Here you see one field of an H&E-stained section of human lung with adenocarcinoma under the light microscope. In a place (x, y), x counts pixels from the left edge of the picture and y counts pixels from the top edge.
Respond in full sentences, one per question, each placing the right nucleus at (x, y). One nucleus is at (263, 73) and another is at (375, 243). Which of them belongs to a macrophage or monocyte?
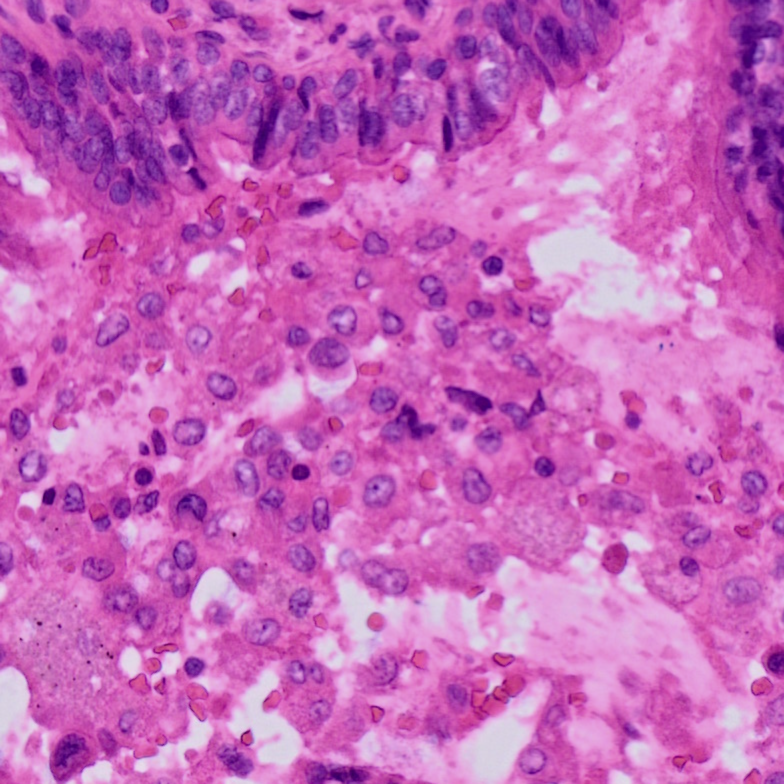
The nucleus of a macrophage or monocyte is the one found at (375, 243), not the other.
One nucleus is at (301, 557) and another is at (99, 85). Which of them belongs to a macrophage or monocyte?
Of these two nuclei, it is the one at (301, 557) that belongs to a macrophage or monocyte.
